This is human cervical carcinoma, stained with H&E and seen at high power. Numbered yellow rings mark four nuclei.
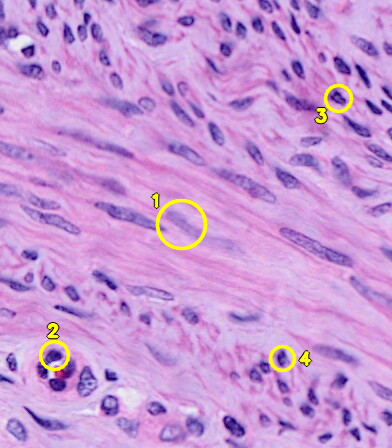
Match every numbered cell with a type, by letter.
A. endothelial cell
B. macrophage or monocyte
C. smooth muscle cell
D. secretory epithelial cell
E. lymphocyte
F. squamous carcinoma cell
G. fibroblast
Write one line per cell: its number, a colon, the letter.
1: C
2: A
3: C
4: C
